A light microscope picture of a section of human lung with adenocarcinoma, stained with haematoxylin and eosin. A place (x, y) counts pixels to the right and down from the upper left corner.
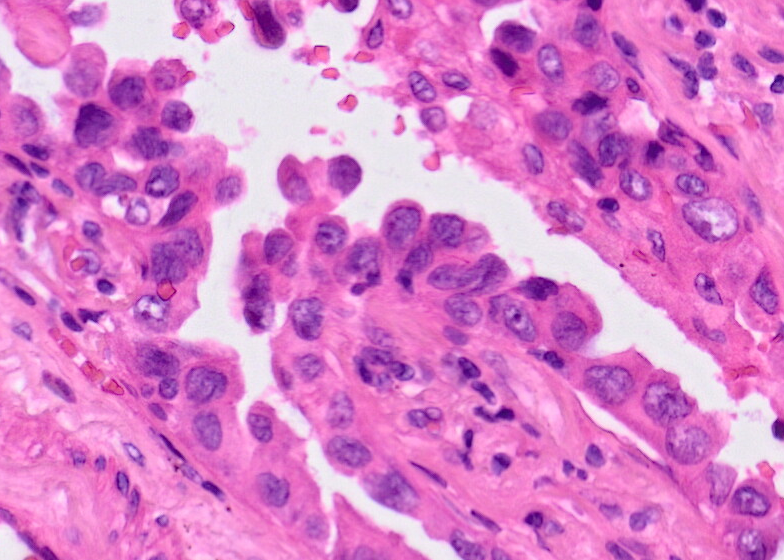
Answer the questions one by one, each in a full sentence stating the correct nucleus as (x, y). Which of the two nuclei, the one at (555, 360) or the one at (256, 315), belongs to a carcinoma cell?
Of the two nuclei, it is the one at (256, 315) that lies within a carcinoma cell.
